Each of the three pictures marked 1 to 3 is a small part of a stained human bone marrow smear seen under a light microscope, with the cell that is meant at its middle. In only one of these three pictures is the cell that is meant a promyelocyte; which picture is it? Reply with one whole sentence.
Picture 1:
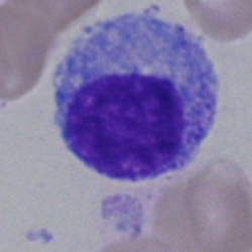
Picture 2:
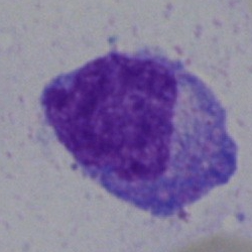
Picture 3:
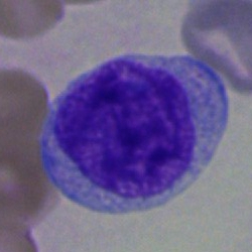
The cell in picture 2 is the promyelocyte.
